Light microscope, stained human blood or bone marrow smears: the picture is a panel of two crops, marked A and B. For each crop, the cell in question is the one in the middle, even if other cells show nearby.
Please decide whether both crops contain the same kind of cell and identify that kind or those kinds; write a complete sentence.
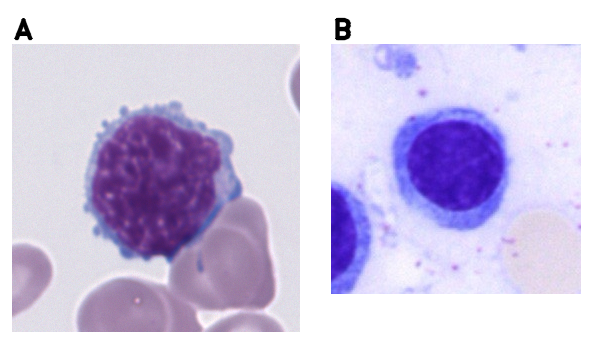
Yes, the cells at the centre of the two crops are both lymphocytes.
